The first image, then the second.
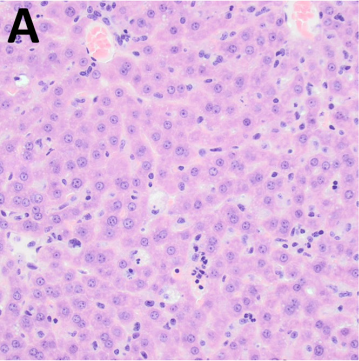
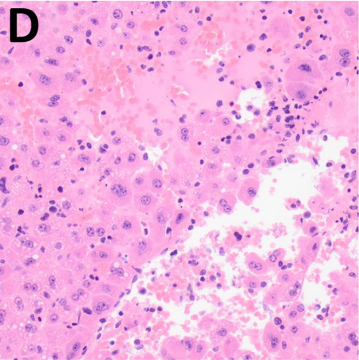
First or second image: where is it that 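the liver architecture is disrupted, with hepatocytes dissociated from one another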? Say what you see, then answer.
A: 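Second image: hepatocytes are separated, tissue torn, with pools of red blood cells. First image: hepatocytes form continuous cords with regular sinusoids between them. On this evidence: the second image.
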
